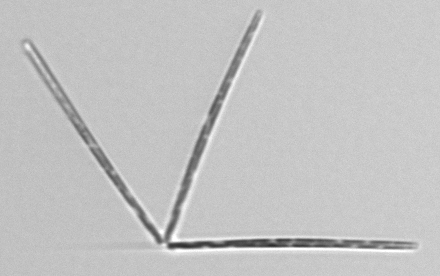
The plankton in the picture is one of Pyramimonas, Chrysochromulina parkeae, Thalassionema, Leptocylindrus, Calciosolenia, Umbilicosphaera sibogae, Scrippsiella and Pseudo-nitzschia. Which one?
Thalassionema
